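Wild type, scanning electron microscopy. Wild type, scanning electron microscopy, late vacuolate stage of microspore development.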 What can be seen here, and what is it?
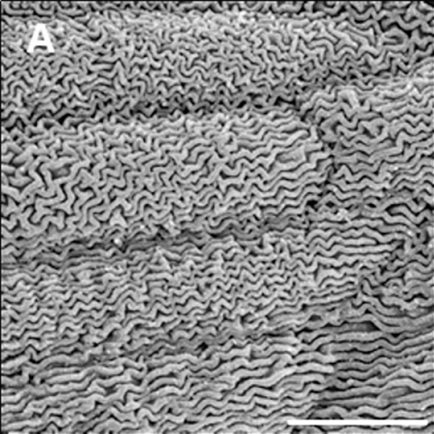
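The surface of the anther epidermis is seen from above, made of elongated, roughly rectangular cells set side by side in rows. Each cell surface is densely covered with fine, tightly folded wavy ridges, with the cell boundaries visible as shallow grooves between them.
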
